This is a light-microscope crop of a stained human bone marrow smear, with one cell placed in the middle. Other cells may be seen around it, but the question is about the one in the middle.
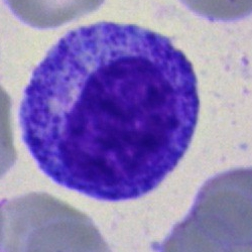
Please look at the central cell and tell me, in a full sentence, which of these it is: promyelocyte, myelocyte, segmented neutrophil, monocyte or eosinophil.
Where the crop is centred, there is a promyelocyte.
